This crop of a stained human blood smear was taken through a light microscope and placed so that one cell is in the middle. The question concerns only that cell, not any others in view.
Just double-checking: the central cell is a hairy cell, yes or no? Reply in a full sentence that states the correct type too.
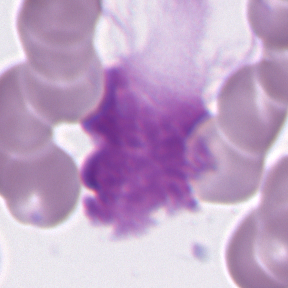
No, in this crop the central cell is a smudge cell instead of a hairy cell.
